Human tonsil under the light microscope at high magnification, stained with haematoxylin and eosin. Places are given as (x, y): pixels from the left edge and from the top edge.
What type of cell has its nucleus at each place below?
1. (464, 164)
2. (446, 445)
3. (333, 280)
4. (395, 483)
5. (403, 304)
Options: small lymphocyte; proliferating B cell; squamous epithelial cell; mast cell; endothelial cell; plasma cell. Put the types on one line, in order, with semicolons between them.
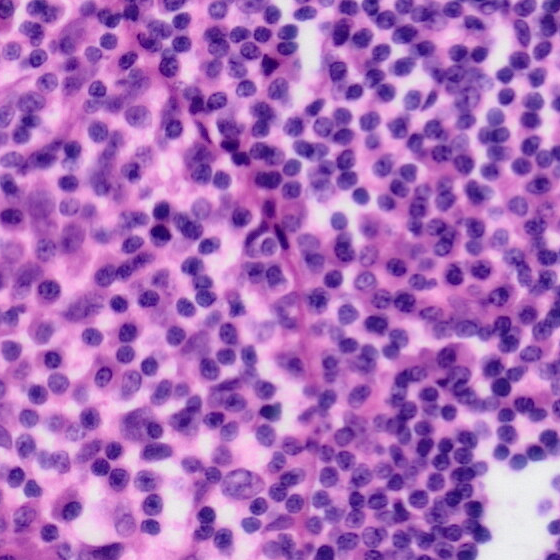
plasma cell; small lymphocyte; plasma cell; small lymphocyte; plasma cell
